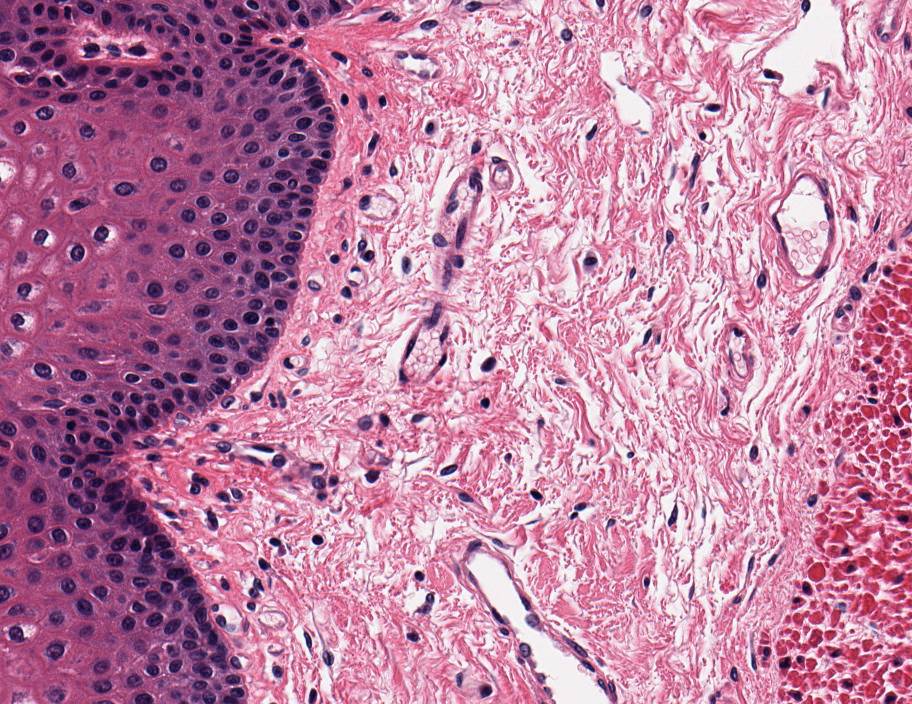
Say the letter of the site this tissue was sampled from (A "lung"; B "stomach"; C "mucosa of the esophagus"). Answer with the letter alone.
C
